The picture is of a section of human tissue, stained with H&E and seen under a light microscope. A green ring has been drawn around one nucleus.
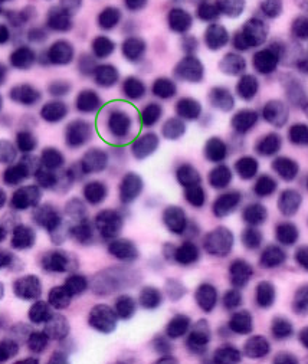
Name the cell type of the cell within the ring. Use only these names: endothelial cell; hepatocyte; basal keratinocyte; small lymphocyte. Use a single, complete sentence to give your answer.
The correct response here is that the cell within the ring is a small lymphocyte.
